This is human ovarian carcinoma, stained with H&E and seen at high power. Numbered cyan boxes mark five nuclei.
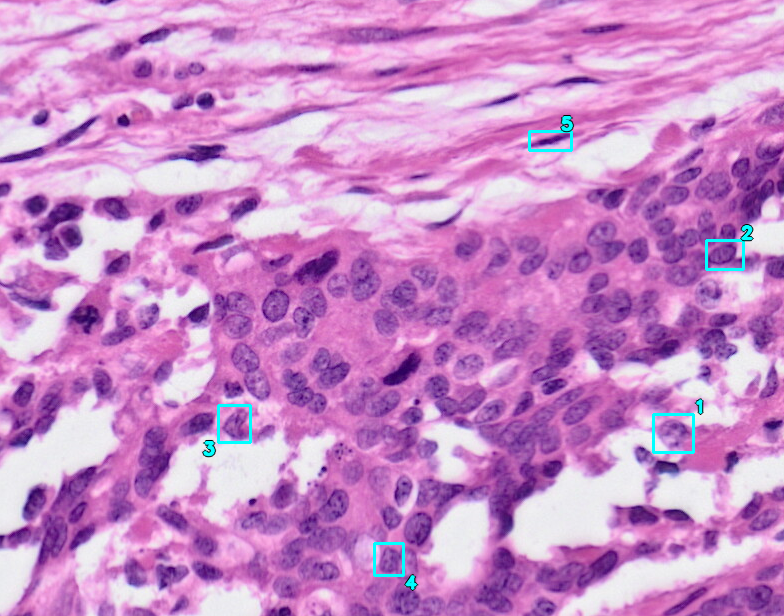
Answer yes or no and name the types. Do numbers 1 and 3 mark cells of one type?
Yes, it is as macrophages or monocytes that cells 1 and 3 are both classified.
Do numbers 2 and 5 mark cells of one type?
No, cell 2 counts as a carcinoma cell, and cell 5 counts as a fibroblast.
